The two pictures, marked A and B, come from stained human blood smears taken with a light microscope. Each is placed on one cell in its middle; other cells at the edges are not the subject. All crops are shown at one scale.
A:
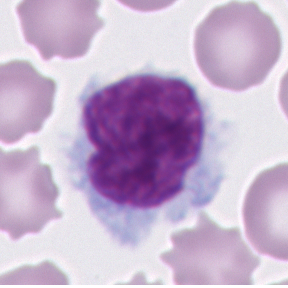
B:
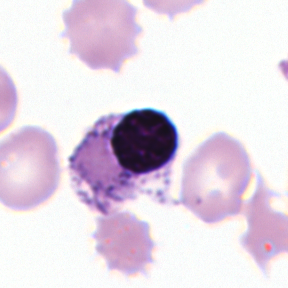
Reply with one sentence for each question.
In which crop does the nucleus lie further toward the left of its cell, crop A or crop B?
Seen within its cell, the nucleus in crop A lies further toward the left.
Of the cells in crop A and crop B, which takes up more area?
The cell in crop A is larger, with about 2.5 times the area of the one in crop B.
